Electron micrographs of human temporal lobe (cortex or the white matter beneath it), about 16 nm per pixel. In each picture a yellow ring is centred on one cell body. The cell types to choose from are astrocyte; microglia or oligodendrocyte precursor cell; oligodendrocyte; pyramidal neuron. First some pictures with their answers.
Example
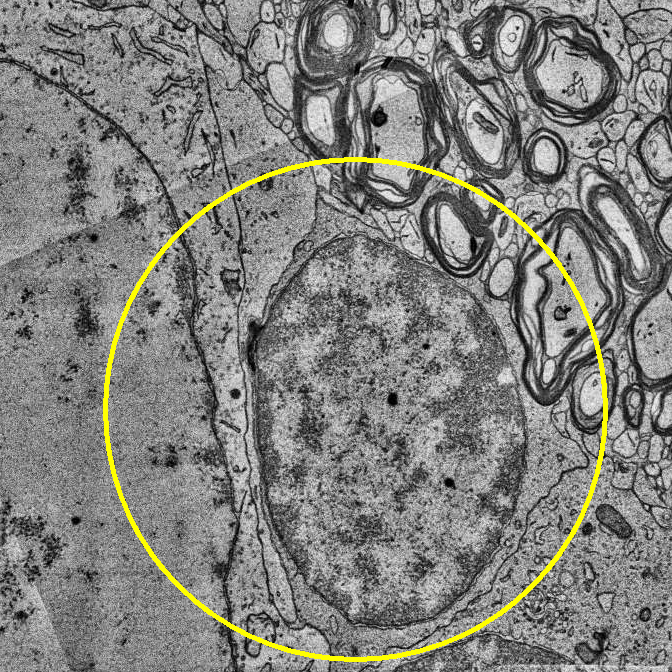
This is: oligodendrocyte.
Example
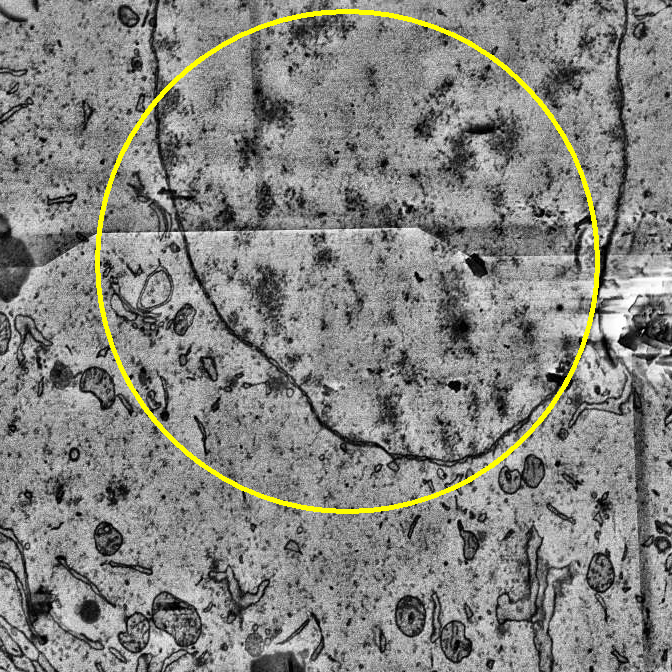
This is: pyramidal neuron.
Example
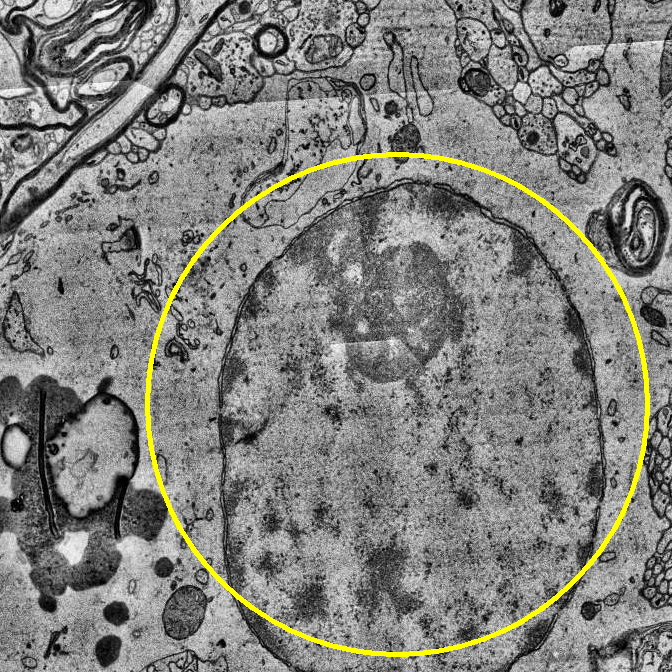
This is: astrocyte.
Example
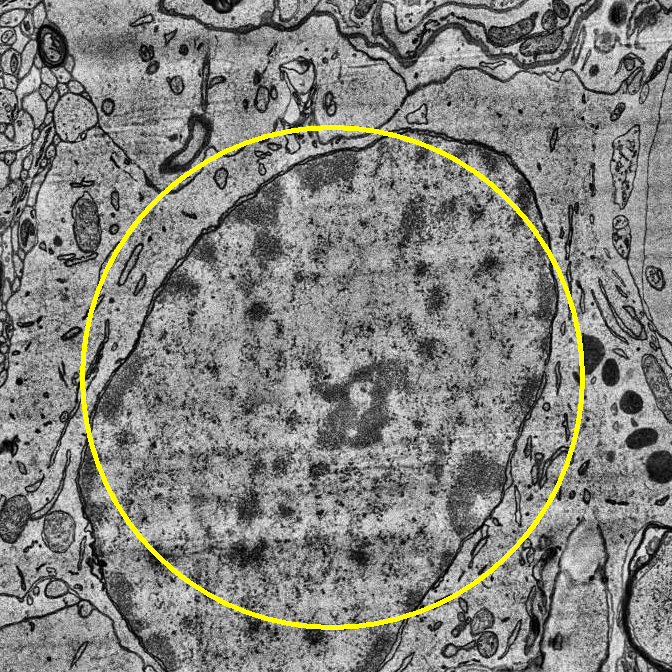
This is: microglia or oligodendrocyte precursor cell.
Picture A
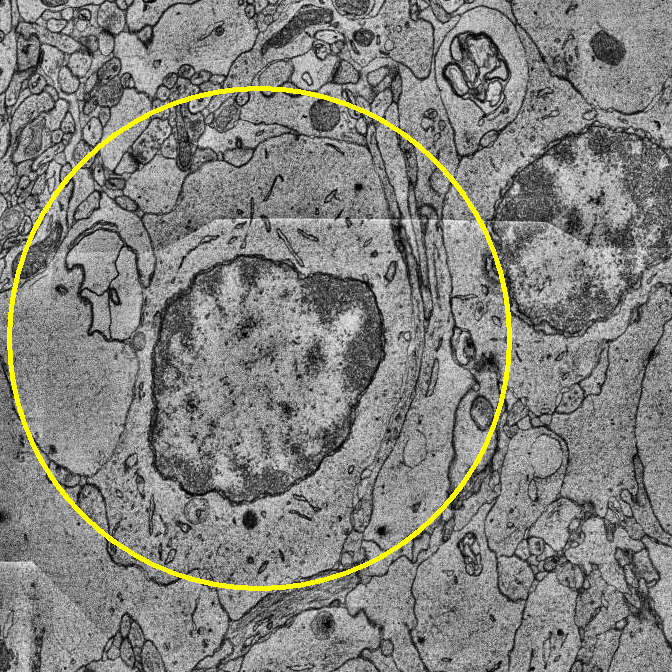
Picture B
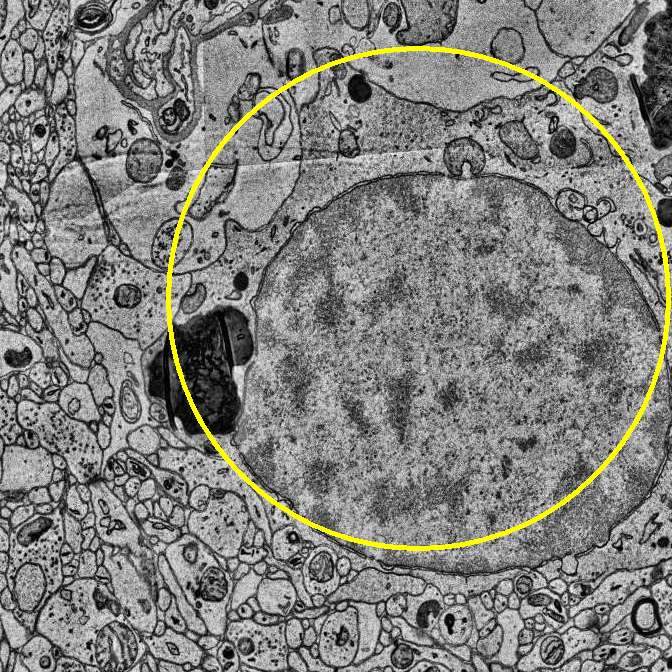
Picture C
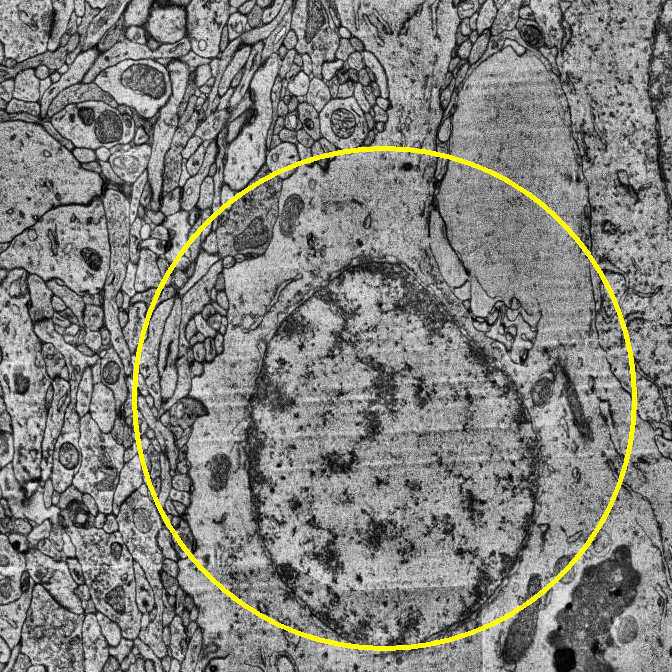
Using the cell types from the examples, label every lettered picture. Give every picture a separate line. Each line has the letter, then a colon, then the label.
A: microglia or oligodendrocyte precursor cell.
B: oligodendrocyte.
C: astrocyte.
